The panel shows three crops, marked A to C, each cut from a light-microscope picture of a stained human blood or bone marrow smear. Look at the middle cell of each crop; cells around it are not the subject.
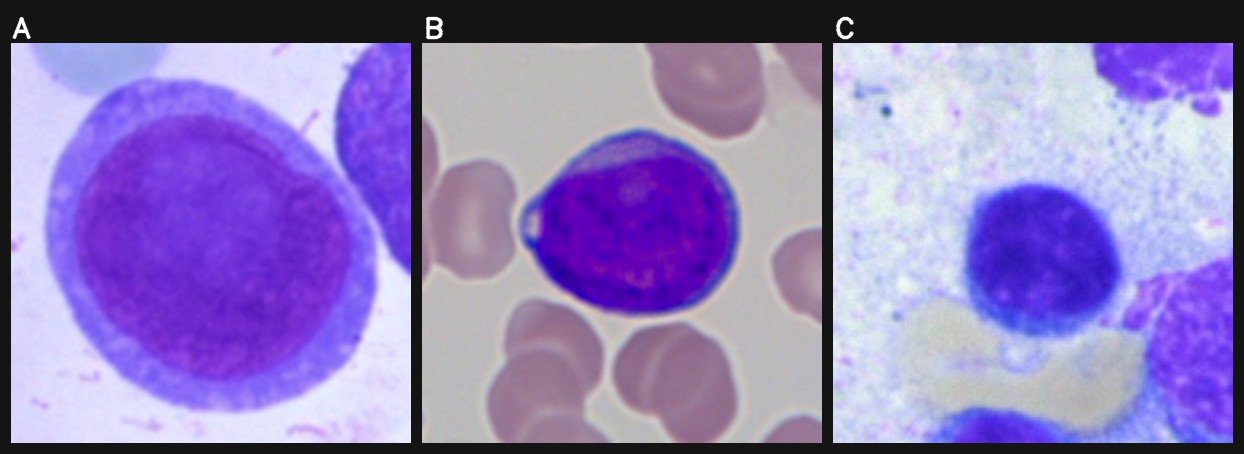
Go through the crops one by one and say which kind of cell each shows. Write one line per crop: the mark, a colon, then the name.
A: blast
B: blast
C: lymphocyte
